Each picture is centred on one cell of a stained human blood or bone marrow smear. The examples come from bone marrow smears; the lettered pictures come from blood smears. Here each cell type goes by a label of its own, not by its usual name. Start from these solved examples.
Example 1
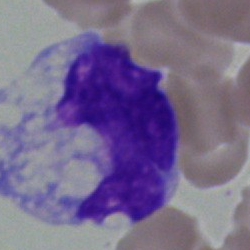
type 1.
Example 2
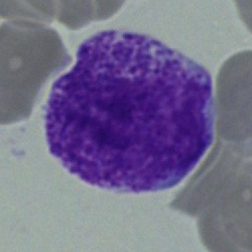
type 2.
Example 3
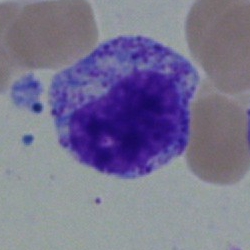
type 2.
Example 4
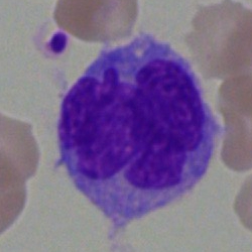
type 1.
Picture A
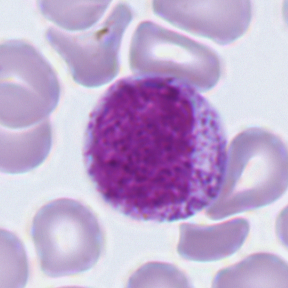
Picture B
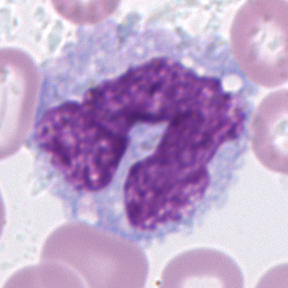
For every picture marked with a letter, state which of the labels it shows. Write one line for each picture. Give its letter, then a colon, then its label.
A: type 2.
B: type 1.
